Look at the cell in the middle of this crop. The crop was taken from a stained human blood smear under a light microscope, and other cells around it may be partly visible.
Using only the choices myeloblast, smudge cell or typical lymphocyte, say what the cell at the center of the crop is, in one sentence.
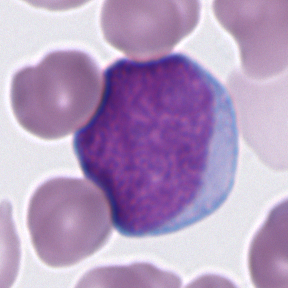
The crop's centre is taken up by a myeloblast.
